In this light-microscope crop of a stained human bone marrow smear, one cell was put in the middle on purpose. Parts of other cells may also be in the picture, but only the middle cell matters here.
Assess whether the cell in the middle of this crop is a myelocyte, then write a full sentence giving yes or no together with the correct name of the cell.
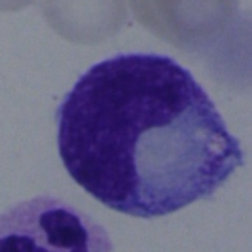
No, what lies at the heart of the crop is a metamyelocyte, not a myelocyte.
